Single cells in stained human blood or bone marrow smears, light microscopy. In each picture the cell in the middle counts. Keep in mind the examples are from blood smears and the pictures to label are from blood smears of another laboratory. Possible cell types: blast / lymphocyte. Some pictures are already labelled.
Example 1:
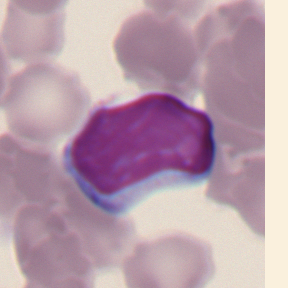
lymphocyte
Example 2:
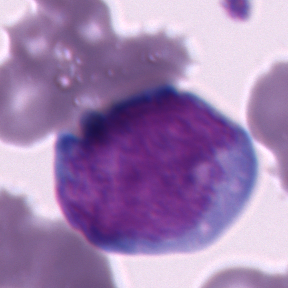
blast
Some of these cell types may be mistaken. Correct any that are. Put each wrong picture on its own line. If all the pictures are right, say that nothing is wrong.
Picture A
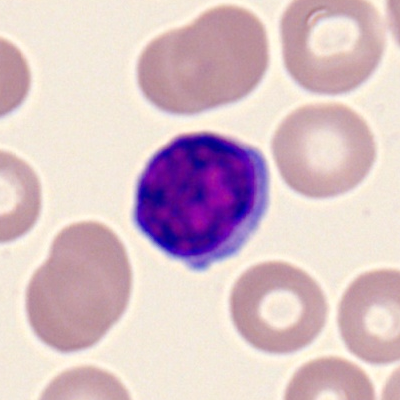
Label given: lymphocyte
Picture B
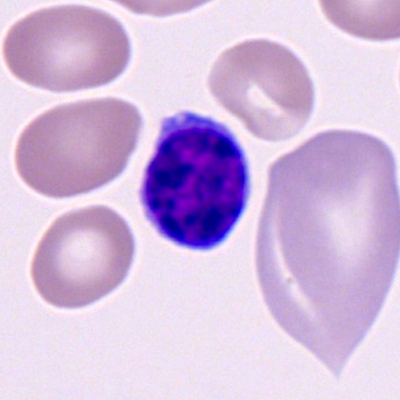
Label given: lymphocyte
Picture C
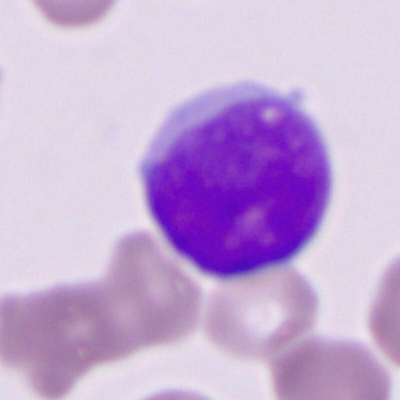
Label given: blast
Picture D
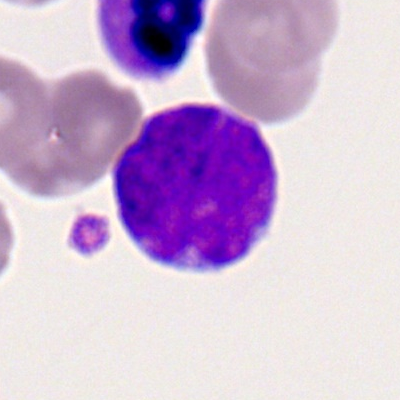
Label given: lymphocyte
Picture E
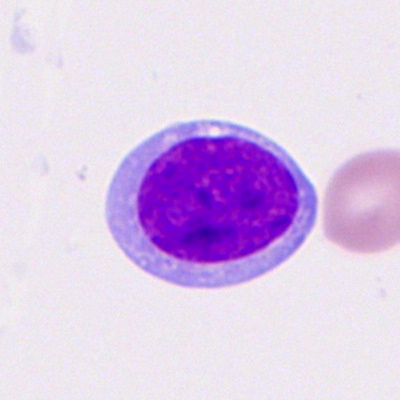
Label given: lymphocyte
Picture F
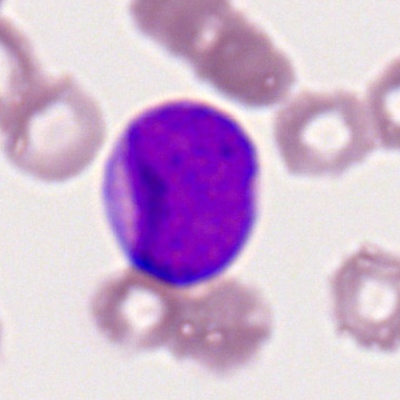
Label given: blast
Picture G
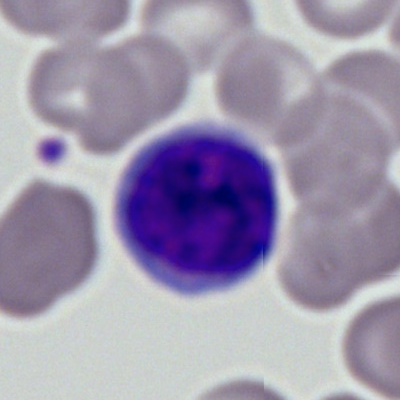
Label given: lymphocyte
D should be blast, not lymphocyte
